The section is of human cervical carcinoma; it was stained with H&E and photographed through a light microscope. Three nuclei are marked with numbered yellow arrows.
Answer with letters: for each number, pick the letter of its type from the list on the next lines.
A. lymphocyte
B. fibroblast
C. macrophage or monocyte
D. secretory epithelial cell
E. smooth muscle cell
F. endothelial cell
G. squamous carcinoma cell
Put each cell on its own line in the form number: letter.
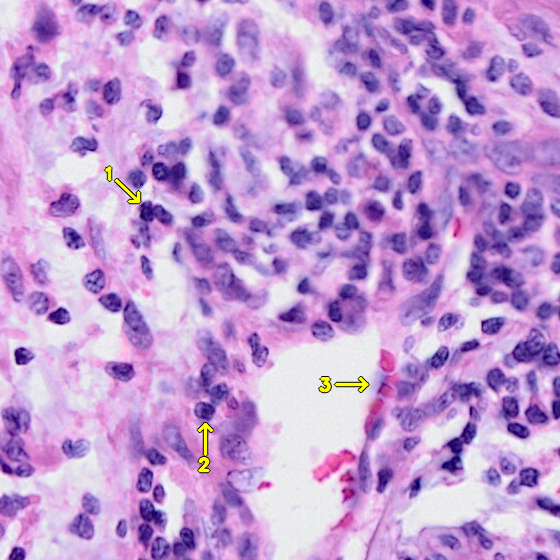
1: A
2: A
3: F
